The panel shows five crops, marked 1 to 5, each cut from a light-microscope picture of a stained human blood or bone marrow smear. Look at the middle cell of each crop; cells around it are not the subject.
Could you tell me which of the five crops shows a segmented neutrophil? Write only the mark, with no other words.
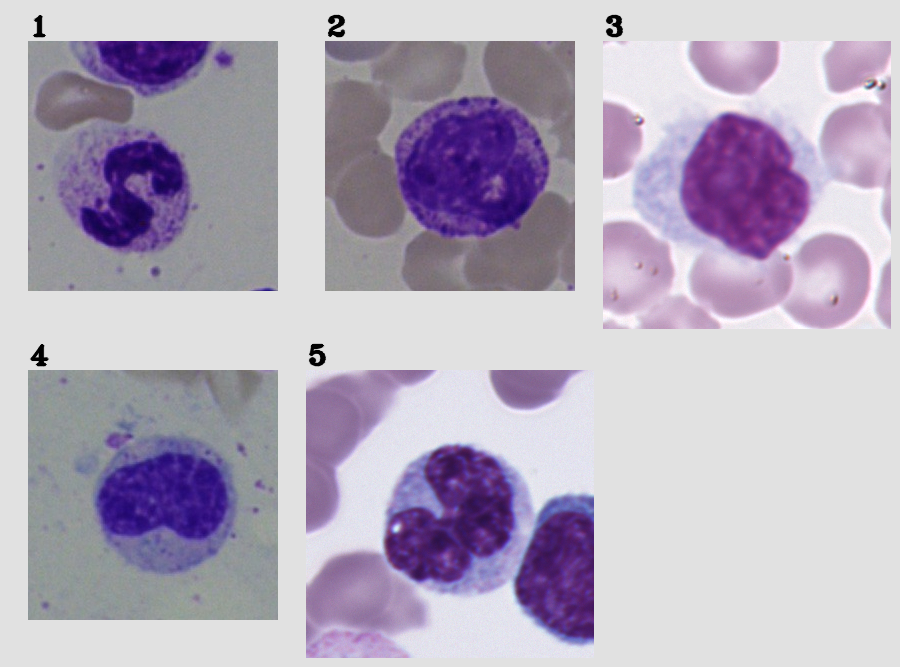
1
